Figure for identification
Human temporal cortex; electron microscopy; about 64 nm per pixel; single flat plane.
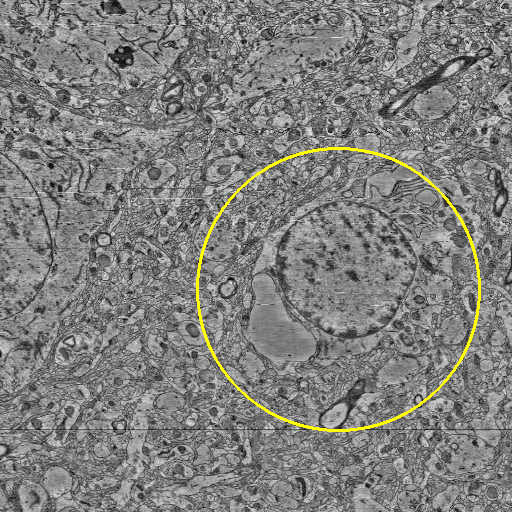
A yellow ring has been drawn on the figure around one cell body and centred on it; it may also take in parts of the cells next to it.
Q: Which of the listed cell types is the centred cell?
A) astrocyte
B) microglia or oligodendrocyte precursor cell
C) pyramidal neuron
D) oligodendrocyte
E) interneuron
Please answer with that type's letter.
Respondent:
A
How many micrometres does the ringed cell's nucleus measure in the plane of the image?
In this plane, roughly 9 micrometres across.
